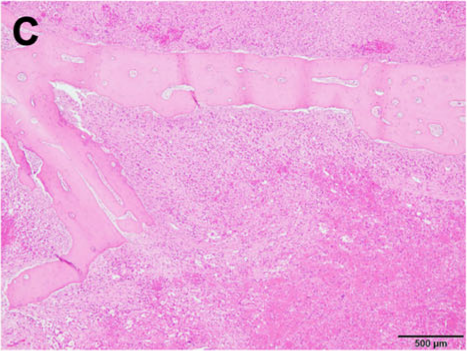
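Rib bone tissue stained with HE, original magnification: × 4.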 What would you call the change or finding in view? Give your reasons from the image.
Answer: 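Invasion. Broad pink bony trabeculae cross the field. Densely cellular tissue fills the spaces between and around the trabeculae.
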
